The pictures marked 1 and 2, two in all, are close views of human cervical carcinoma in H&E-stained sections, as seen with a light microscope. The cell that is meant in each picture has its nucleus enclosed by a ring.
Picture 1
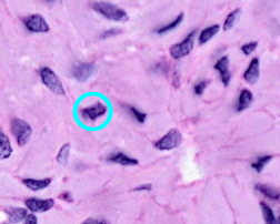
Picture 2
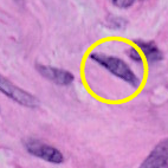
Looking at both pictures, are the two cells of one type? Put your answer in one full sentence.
Yes; the cells in both pictures are fibroblasts.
